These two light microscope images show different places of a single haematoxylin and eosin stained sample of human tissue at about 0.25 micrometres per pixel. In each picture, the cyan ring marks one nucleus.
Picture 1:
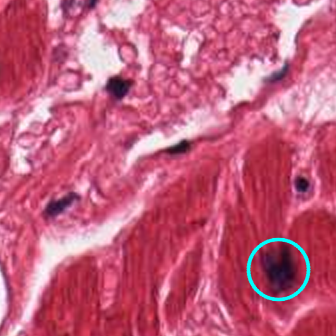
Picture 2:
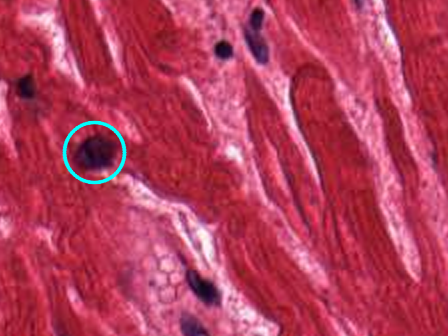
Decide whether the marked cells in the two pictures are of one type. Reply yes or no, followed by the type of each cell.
Yes, both are cardiomyocytes.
